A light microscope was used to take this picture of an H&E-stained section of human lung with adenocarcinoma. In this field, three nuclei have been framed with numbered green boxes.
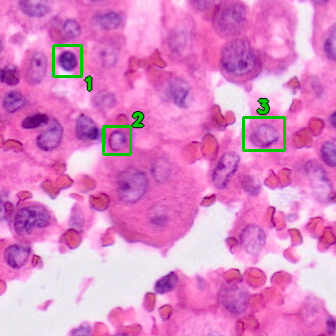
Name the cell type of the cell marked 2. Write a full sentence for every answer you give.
Heads up, the cell numbered 2 is a macrophage or monocyte.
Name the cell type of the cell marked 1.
The expected answer is that cell 1 is a lymphocyte.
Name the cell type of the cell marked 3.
The cell indicated with the number 3 is classed as a macrophage or monocyte.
